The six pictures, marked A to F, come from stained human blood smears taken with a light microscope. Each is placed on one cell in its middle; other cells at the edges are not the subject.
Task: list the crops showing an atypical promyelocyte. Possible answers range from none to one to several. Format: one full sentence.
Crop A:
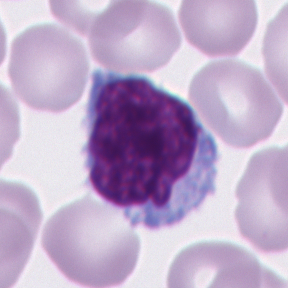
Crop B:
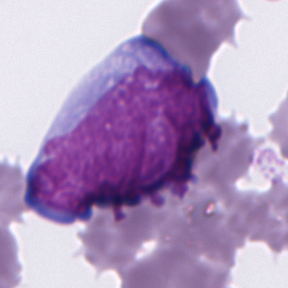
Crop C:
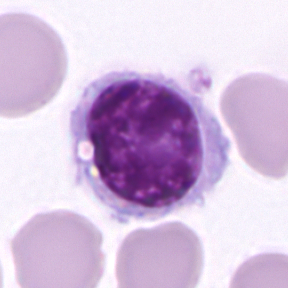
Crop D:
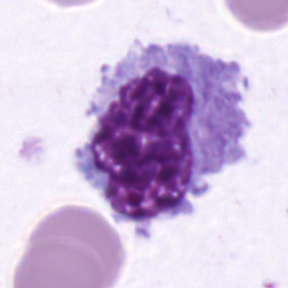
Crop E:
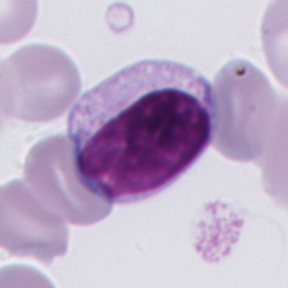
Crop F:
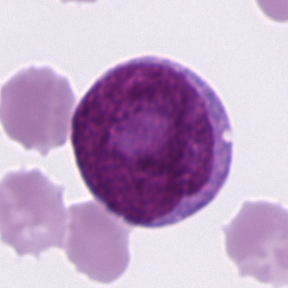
Each crop was checked, and none of them shows an atypical promyelocyte.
